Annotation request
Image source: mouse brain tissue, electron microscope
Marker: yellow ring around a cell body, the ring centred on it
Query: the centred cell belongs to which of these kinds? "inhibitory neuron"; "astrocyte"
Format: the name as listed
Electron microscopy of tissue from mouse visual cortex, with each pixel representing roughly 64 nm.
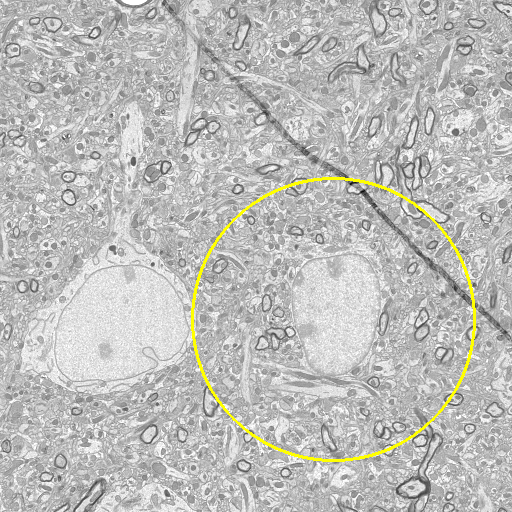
astrocyte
